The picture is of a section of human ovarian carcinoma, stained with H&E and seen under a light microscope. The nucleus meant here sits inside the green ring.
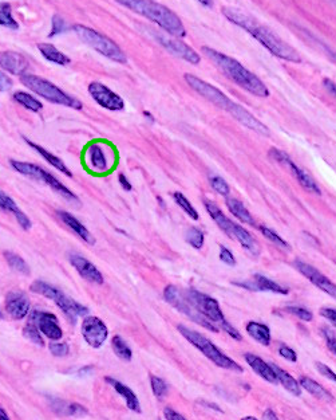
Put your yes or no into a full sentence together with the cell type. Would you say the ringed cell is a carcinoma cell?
No, just to correct that, the ringed cell is a smooth muscle cell and not a carcinoma cell.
